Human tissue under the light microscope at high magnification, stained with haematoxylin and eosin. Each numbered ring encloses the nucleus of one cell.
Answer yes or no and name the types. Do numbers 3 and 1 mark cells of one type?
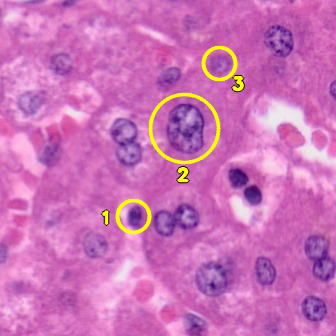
No, cell 3 is a hepatocyte, but cell 1 is a lymphocyte.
